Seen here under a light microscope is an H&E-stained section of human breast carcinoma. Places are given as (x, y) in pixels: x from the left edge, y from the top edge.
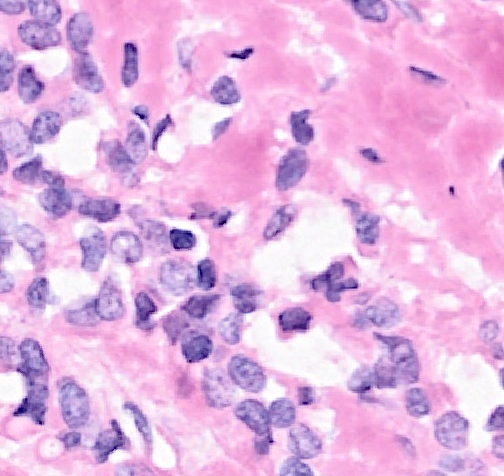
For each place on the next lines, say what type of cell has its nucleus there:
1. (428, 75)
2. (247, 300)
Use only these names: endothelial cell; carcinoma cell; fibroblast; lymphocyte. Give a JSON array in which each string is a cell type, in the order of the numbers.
["fibroblast", "carcinoma cell"]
